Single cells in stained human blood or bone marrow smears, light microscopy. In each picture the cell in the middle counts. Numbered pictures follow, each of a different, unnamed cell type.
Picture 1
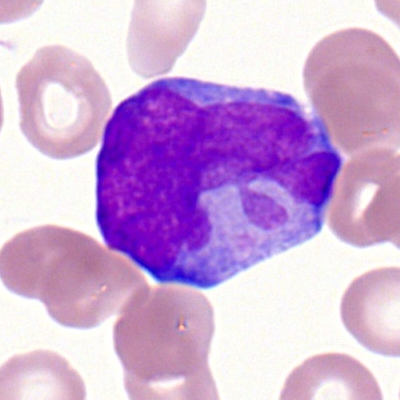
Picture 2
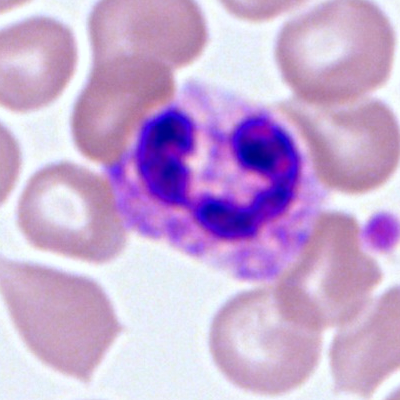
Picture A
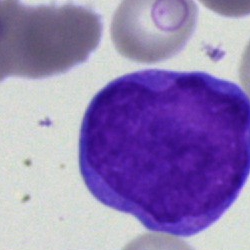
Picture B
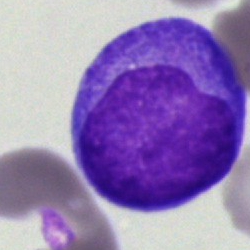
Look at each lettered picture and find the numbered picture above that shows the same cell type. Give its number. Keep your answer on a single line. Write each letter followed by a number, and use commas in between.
A 1, B 1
